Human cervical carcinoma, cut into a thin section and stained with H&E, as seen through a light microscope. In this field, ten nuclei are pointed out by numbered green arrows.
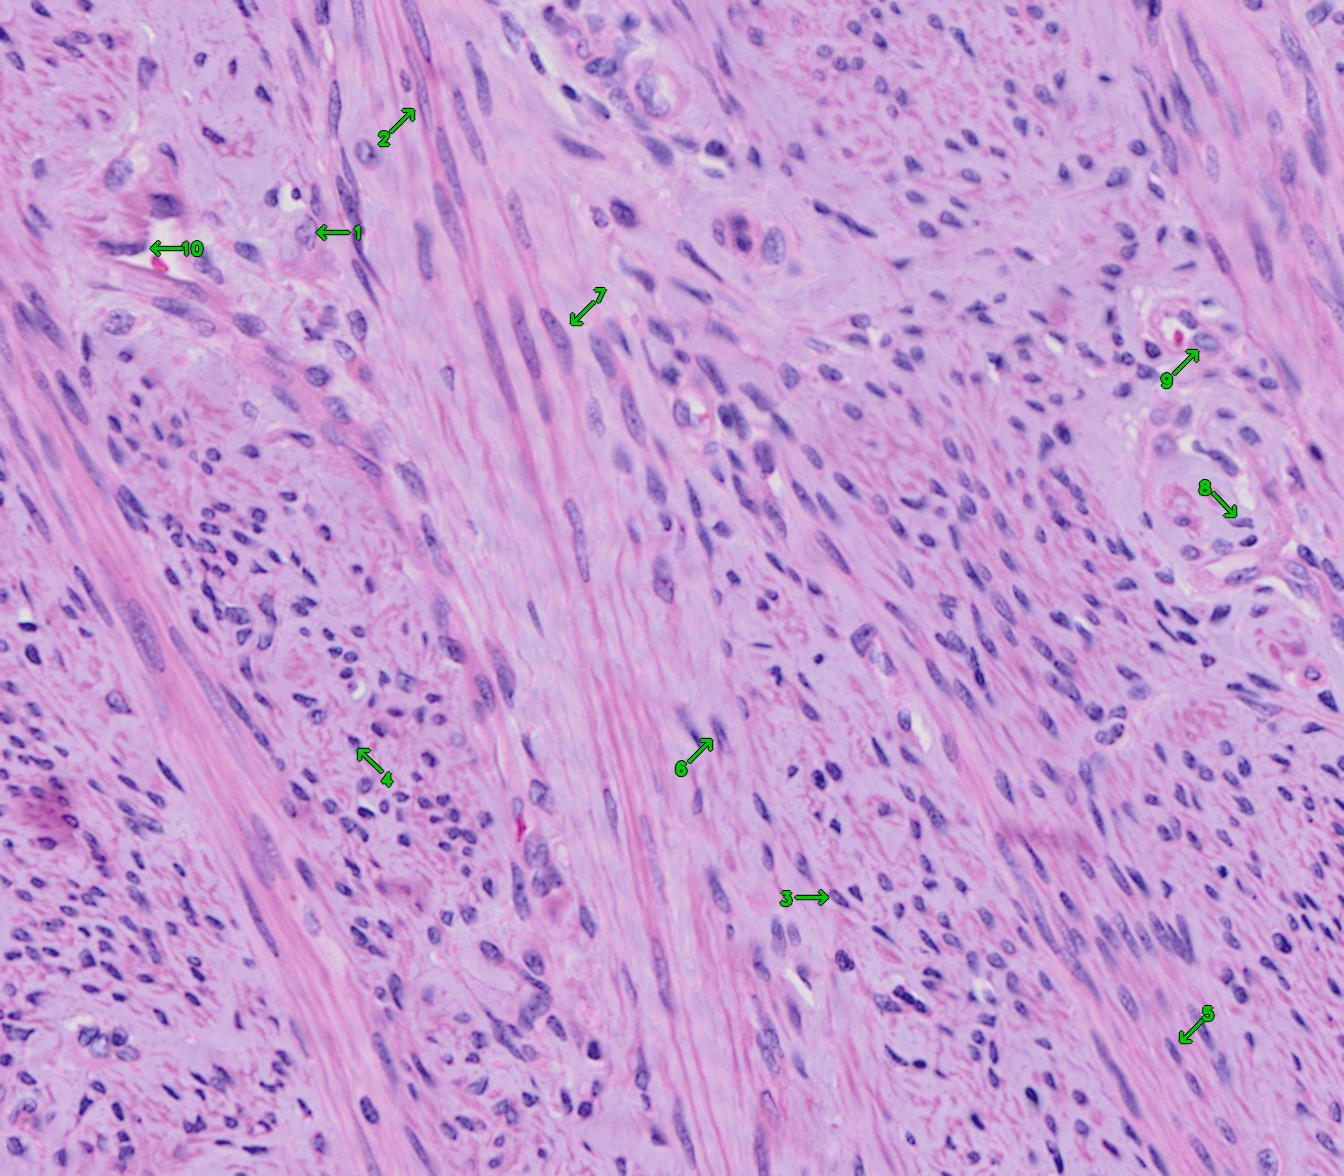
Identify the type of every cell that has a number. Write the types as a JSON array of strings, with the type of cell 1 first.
["endothelial cell", "smooth muscle cell", "smooth muscle cell", "smooth muscle cell", "smooth muscle cell", "smooth muscle cell", "smooth muscle cell", "fibroblast", "endothelial cell", "endothelial cell"]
